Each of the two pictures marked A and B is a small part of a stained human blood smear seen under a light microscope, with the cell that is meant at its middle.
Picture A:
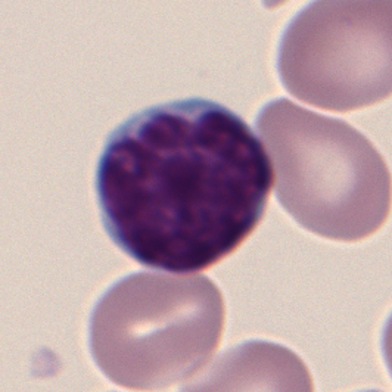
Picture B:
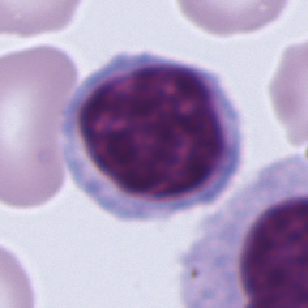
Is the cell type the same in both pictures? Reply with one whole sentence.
Yes, both cells are typical lymphocytes.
